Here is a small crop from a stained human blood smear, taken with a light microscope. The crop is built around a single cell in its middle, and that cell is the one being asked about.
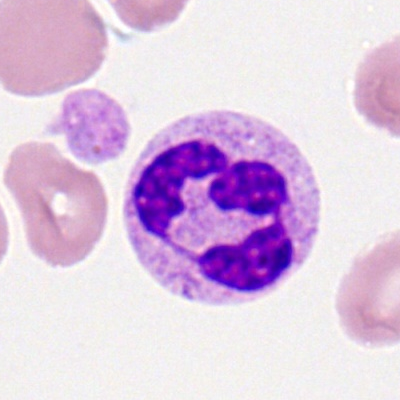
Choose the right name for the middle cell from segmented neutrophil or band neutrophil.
segmented neutrophil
